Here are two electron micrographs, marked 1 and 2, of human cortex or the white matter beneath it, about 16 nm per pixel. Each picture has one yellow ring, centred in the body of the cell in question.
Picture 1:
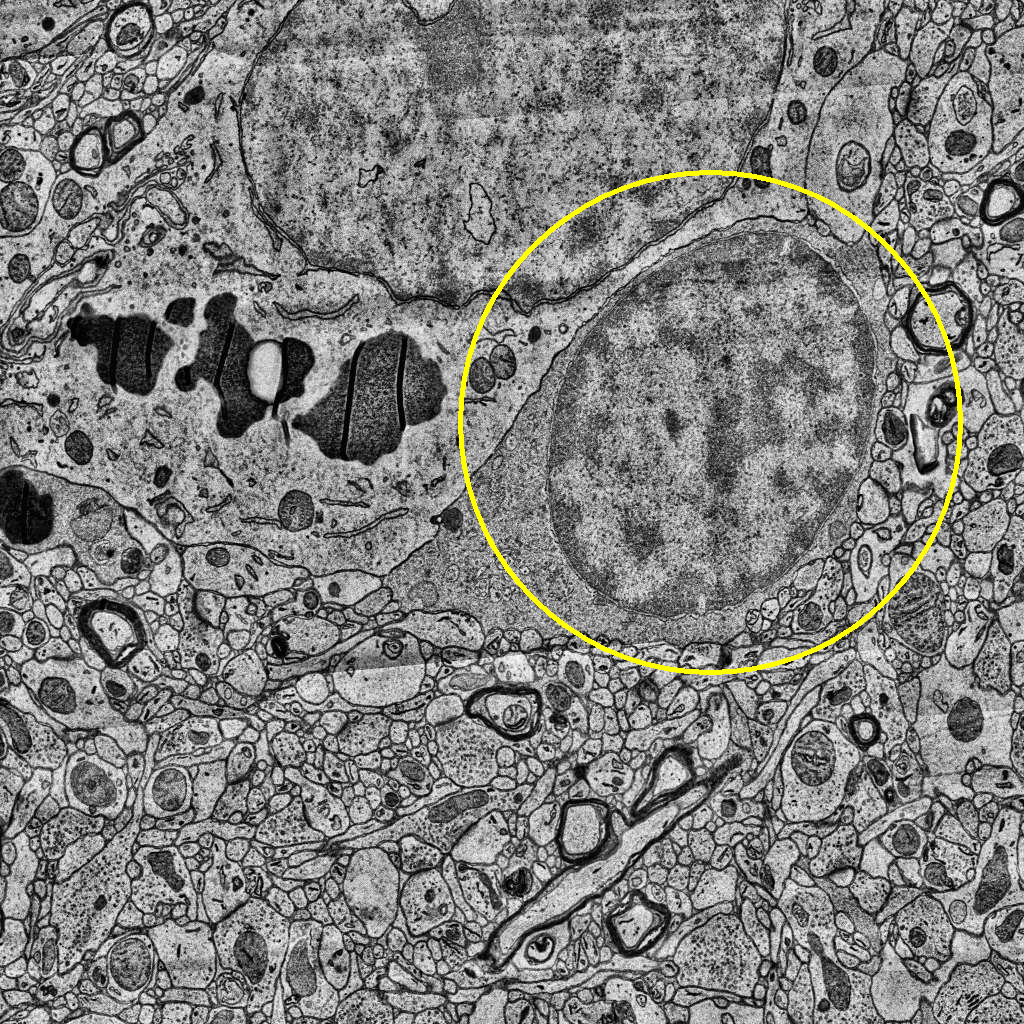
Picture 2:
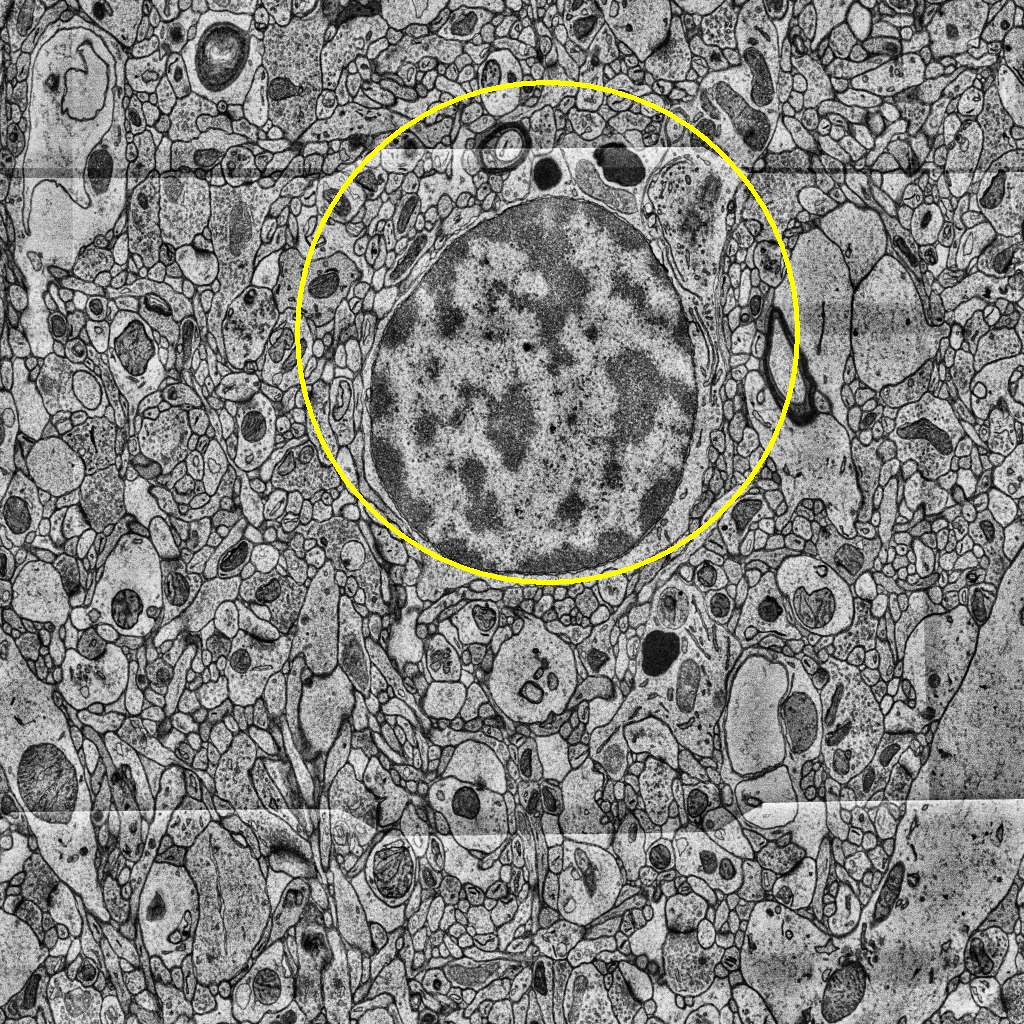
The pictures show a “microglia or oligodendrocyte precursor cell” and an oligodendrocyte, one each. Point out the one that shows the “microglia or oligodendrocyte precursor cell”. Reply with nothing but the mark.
2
